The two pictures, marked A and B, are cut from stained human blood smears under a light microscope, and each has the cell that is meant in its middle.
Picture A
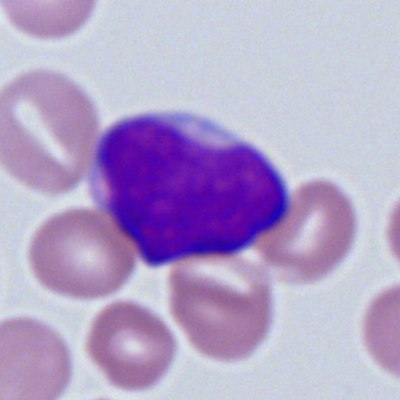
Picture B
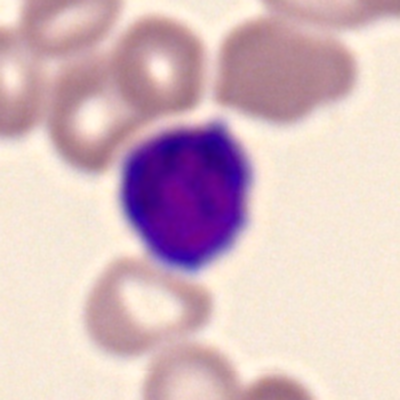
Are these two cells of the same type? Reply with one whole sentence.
No, the types are not the same, since picture A shows a myeloblast and picture B a lymphocyte.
